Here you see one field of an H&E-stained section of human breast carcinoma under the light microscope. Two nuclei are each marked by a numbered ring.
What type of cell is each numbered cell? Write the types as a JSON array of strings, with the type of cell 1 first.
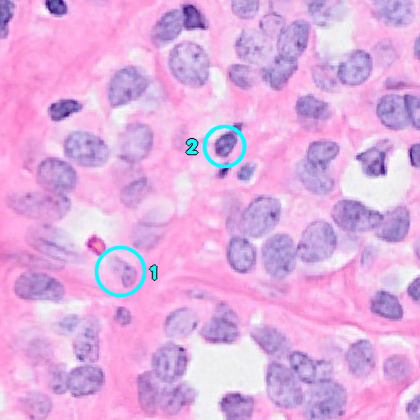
["endothelial cell", "lymphocyte"]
